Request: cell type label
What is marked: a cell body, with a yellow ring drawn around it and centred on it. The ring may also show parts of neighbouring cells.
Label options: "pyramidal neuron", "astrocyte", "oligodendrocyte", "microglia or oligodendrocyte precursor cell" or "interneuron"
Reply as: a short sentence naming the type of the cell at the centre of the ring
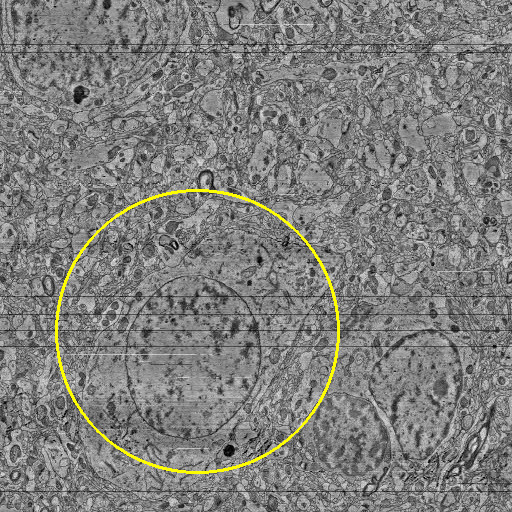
The marked cell body is that of a pyramidal neuron.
